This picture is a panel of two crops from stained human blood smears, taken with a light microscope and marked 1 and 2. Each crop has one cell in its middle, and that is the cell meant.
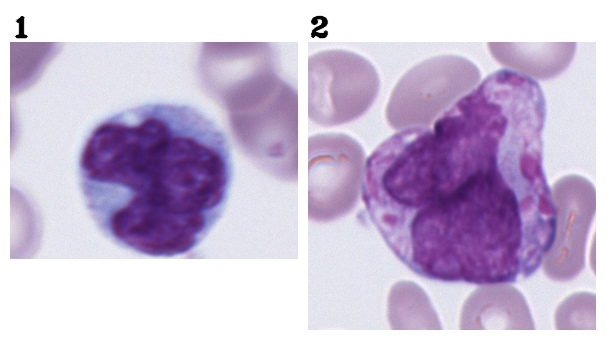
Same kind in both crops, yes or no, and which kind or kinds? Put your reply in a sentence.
No, a monocyte is the cell in crop 1; an atypical promyelocyte is the cell in crop 2.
